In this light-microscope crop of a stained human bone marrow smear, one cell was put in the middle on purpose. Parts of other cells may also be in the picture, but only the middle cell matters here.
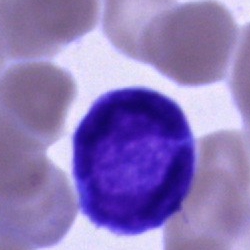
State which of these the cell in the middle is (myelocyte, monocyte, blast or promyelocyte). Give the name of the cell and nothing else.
blast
